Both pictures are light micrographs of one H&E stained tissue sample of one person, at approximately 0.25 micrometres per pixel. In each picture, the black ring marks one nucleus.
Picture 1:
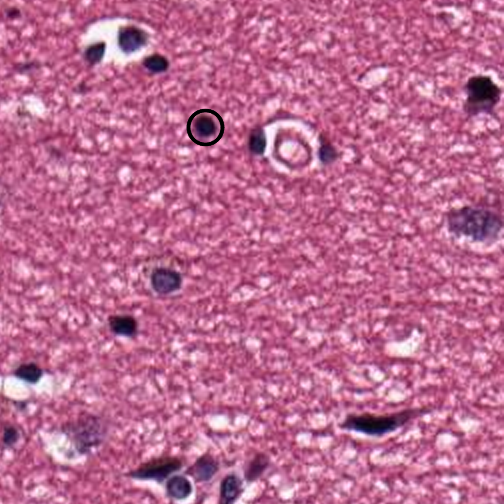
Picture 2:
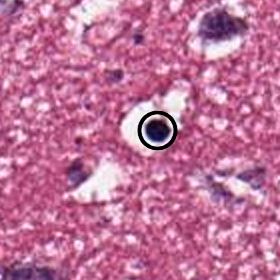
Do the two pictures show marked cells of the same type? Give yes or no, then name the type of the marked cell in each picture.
Yes, both are oligodendrocytes.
